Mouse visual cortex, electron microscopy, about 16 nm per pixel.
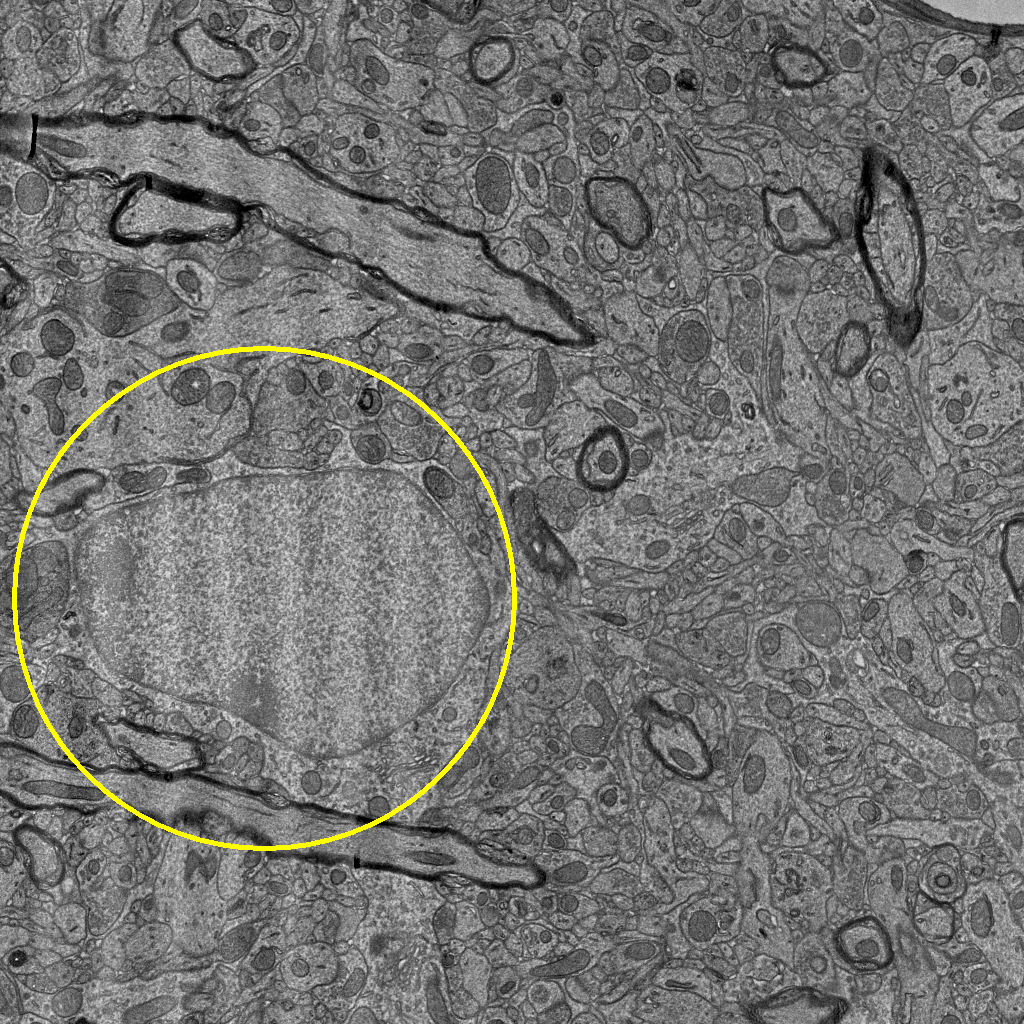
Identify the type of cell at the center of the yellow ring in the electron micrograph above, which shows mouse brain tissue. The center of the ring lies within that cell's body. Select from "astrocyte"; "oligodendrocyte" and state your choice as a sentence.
The center of the yellow ring lies in the body of an astrocyte.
